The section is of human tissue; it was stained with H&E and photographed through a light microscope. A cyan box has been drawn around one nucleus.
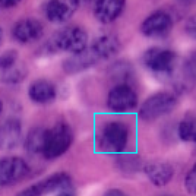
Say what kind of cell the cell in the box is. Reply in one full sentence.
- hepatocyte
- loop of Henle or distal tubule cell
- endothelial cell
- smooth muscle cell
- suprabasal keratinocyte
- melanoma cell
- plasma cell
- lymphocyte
In this field of tissue, the cell in the box is a plasma cell.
